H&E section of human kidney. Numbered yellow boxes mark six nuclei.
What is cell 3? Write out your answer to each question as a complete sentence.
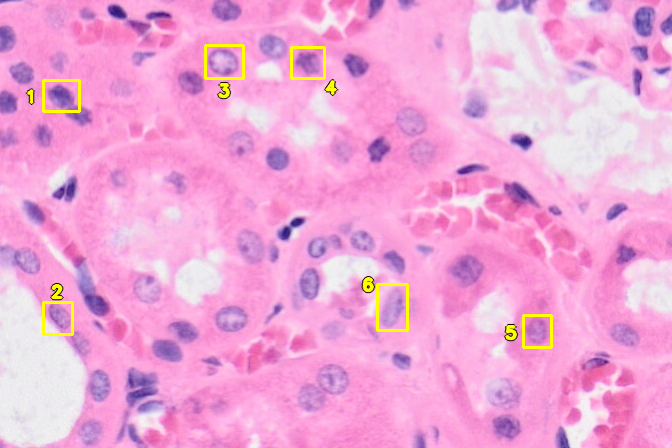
Here the cell numbered 3 is a proximal tubule cell.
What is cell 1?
The nucleus with number 1 is that of a loop of Henle or distal tubule cell.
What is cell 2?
That cell with number 2 is a loop of Henle or distal tubule cell.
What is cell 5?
To a proximal tubule cell belongs the nucleus marked 5.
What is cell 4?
The cell assigned the number 4 is a proximal tubule cell.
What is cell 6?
The cell that bears the number 6 is a collecting duct cell.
